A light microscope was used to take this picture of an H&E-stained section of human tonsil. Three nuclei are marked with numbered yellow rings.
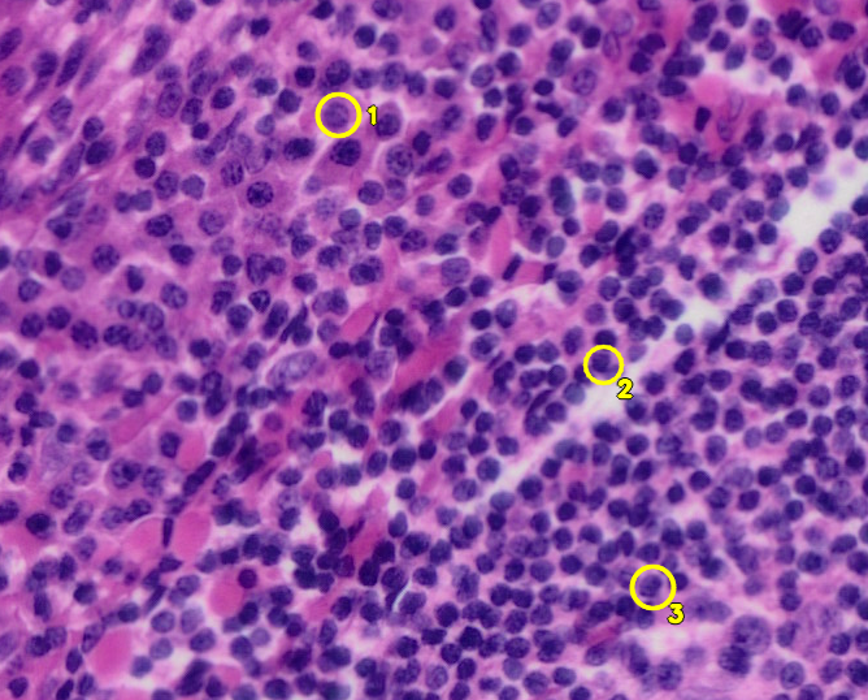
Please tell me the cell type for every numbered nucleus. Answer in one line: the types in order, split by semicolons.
plasma cell; small lymphocyte; small lymphocyte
